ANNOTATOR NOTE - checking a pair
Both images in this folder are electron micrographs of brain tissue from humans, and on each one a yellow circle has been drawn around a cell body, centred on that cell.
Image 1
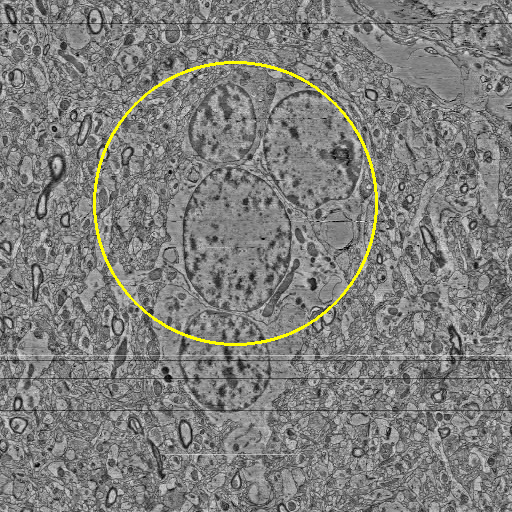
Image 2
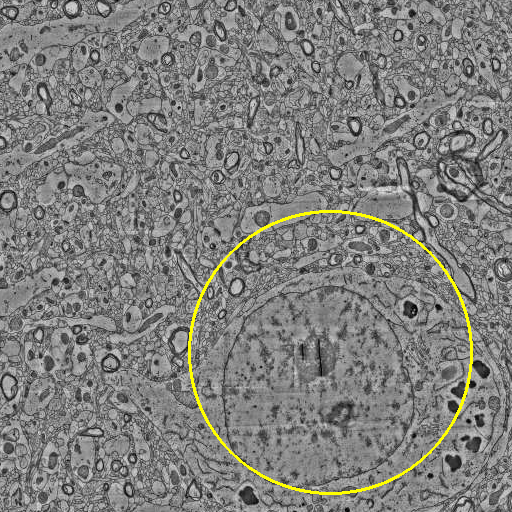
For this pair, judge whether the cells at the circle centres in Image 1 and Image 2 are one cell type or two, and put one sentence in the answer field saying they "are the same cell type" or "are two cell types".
For this pair, the cells at the circle centres in Images 1 and 2 are two cell types.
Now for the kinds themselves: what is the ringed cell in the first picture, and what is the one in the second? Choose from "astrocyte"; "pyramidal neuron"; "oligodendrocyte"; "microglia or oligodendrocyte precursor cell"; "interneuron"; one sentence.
Here the first cell is an astrocyte and the second cell is a pyramidal neuron.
